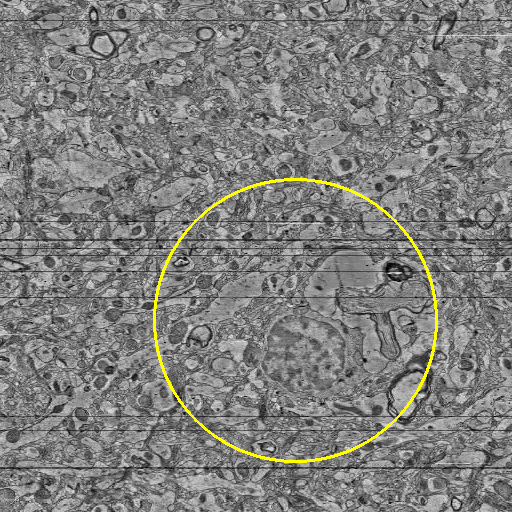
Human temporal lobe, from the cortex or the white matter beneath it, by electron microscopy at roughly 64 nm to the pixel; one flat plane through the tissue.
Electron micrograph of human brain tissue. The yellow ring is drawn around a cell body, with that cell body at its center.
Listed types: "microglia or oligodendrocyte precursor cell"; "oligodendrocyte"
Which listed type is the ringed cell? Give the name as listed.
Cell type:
oligodendrocyte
